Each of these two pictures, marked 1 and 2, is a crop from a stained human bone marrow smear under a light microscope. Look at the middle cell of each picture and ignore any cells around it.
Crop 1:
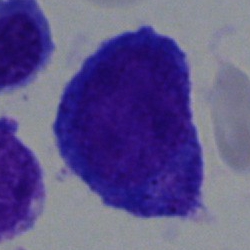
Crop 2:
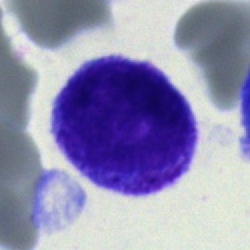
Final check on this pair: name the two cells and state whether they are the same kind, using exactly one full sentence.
Yes, the cells in both crops are promyelocytes.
